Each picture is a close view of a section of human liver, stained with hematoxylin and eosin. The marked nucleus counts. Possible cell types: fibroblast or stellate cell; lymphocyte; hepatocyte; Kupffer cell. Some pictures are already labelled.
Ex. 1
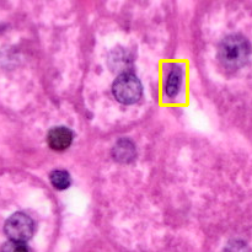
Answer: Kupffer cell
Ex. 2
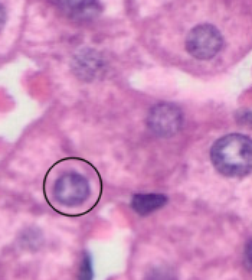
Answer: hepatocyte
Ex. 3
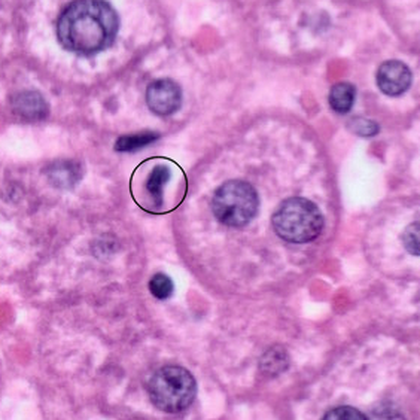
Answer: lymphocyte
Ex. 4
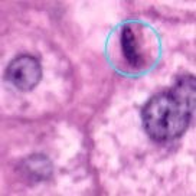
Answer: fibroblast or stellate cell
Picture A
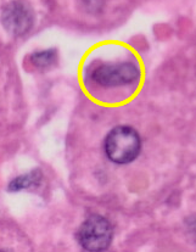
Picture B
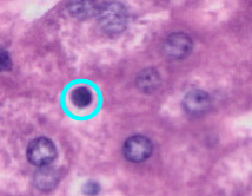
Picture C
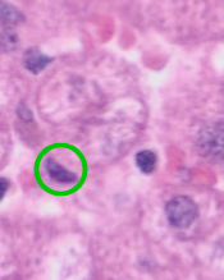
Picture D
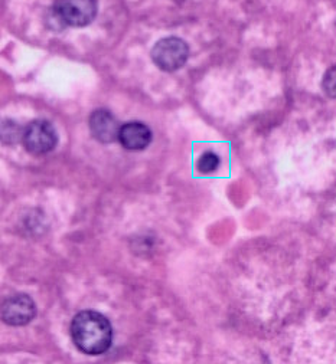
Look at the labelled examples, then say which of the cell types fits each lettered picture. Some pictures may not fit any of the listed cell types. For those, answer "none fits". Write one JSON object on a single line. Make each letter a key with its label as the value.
{"A": "Kupffer cell", "B": "lymphocyte", "C": "fibroblast or stellate cell", "D": "lymphocyte"}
